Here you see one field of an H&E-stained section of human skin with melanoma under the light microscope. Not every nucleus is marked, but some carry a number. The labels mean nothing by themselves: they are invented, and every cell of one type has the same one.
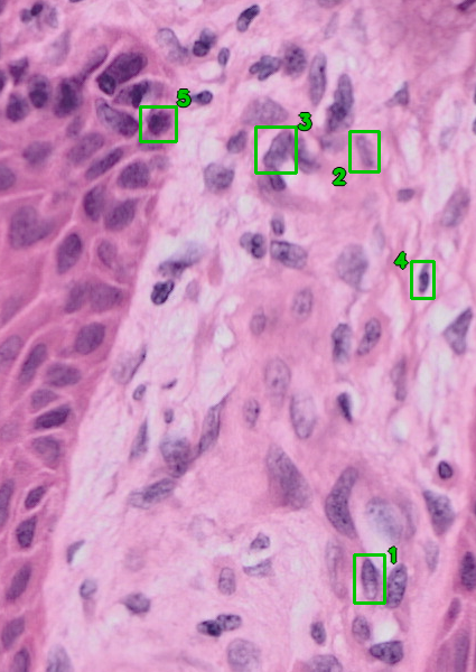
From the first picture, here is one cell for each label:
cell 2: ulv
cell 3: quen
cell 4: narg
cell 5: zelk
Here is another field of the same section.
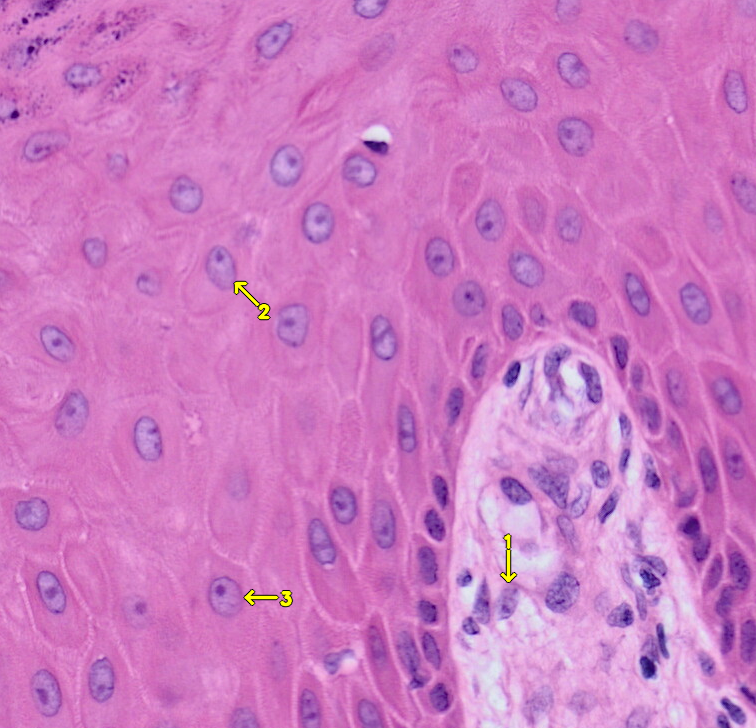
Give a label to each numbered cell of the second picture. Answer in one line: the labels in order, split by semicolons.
ulv; zelk; zelk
